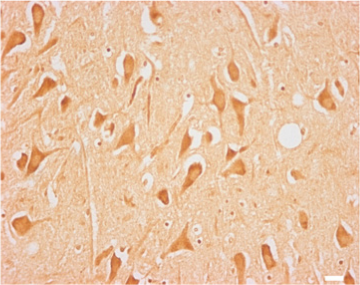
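Section of cortex with many neuronal cell bodies stained brown. Many cells are triangular, with a thick tapering process leaving one pole, and lie scattered at irregular distances. Cytoplasm stains evenly brown, while the nucleus is rarely distinct. The background between cells is finely fibrous and lightly stained, with a few small round clear holes.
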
